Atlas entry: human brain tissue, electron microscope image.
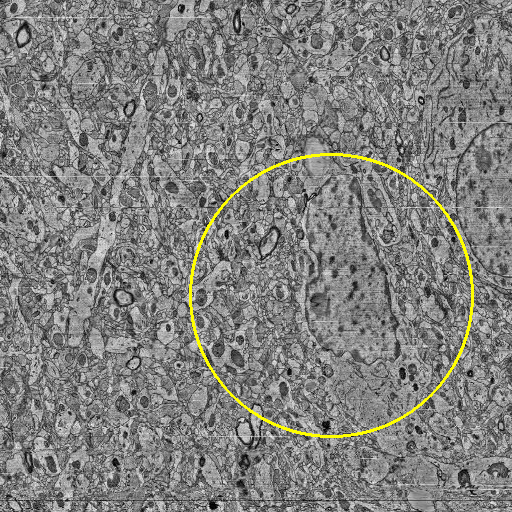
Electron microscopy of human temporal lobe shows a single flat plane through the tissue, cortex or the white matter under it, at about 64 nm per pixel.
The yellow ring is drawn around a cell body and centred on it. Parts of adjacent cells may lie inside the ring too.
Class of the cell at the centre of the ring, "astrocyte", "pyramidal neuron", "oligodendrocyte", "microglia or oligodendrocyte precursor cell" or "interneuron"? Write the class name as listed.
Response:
microglia or oligodendrocyte precursor cell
